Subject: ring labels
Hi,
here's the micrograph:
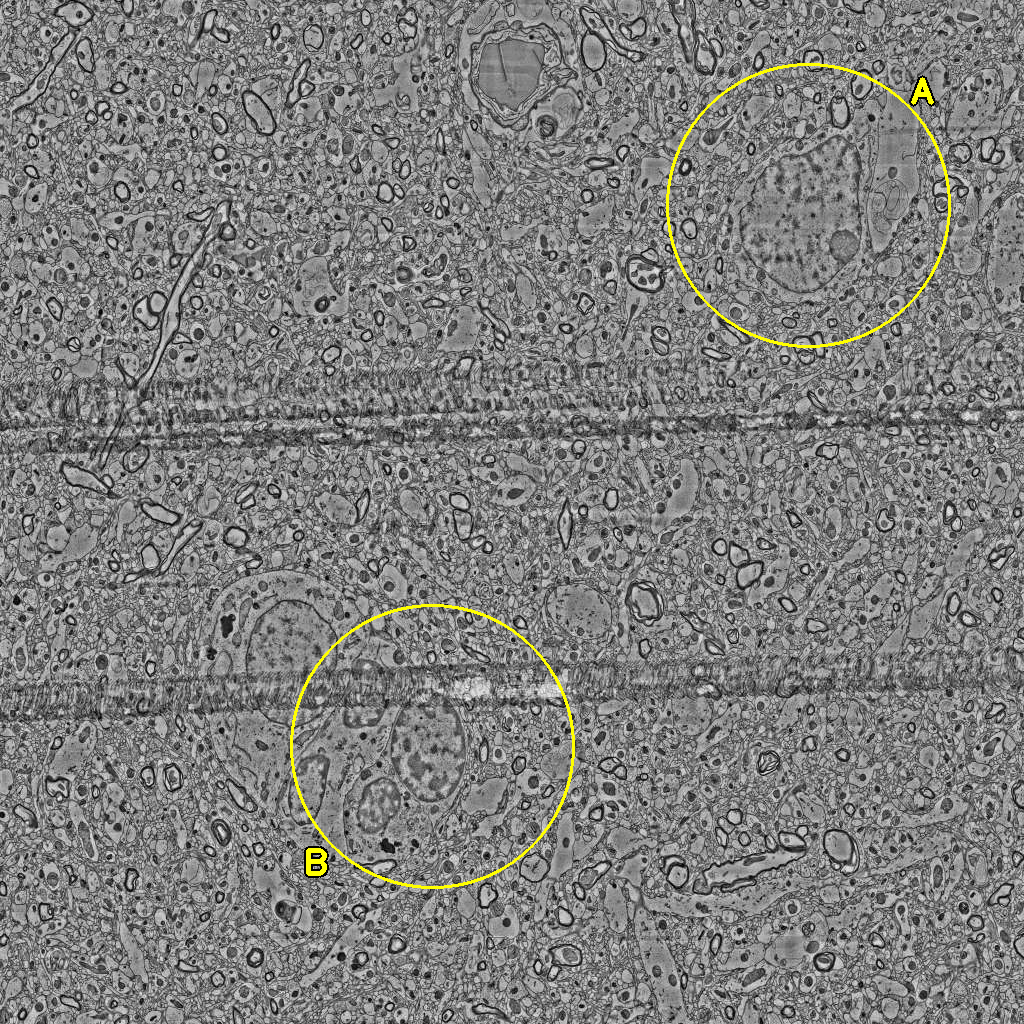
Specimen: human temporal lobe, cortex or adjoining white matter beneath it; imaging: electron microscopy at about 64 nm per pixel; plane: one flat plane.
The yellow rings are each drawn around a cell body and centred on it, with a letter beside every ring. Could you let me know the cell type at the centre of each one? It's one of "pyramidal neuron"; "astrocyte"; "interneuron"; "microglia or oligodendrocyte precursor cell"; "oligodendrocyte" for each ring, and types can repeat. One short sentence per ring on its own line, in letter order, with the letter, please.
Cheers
The type at the centre of ring A is an interneuron.
The type at the centre of ring B is an oligodendrocyte.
